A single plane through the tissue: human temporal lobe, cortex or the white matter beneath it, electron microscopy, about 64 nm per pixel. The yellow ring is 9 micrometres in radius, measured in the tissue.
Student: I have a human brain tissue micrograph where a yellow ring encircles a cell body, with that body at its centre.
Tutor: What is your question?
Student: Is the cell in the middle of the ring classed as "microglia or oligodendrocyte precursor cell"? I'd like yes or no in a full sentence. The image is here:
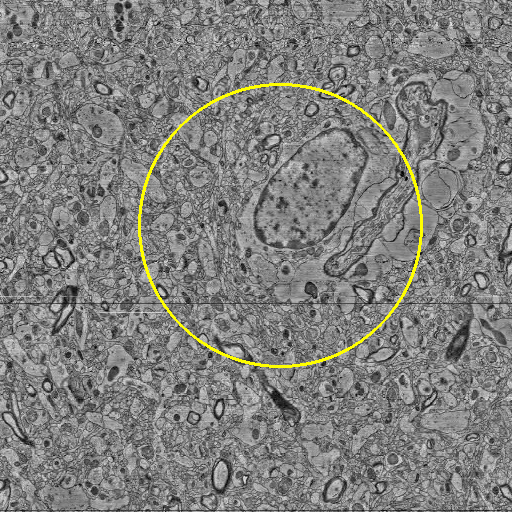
Yes, the cell in the middle of the ring is classed as that kind.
